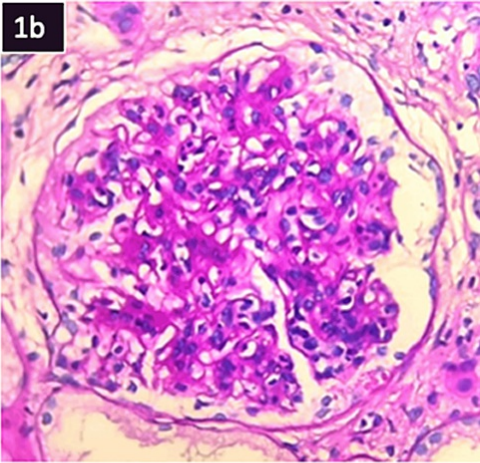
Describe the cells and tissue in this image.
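A glomerulus whose tuft is enlarged and lobulated, with magenta-staining matrix widened in the lobule centres. Numerous blue nuclei fill the tuft, narrowing the capillary lumina. A thin magenta Bowman's capsule surrounds a clear urinary space, with tubules and interstitium outside.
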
